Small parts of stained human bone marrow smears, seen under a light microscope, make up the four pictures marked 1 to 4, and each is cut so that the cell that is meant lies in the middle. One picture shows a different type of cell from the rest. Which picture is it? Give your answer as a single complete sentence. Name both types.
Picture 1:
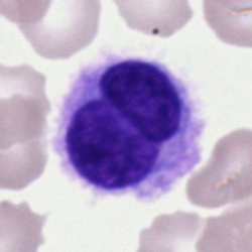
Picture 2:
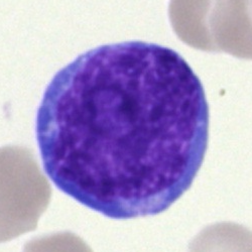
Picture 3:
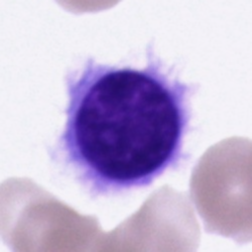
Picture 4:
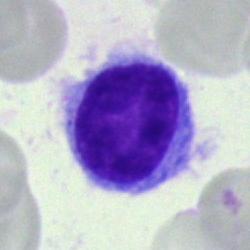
Unlike the rest, which show hairy cells, picture 2 shows a blast.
